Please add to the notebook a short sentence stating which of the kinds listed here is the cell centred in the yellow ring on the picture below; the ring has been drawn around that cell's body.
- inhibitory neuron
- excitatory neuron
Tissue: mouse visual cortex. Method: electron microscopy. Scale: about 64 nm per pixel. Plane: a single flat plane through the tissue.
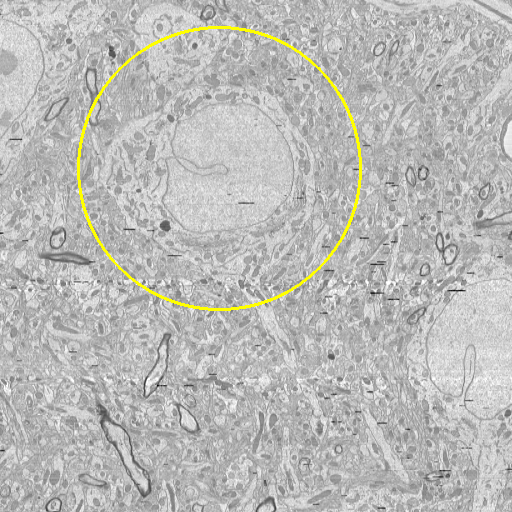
The cell centred in the yellow ring is an inhibitory neuron.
